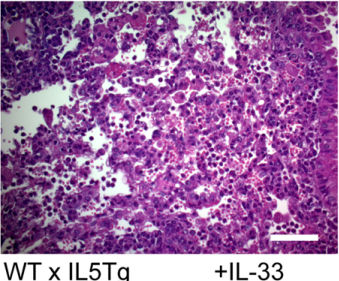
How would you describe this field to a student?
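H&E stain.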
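This is lung tissue in which most of the air spaces are filled and crowded by densely packed cells, so the normal open, lace-like pattern is largely lost. Many small round cells with purple nuclei and pink cytoplasm lie close together, mixed with pink-red material, and only a few scattered pale gaps of air space remain.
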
